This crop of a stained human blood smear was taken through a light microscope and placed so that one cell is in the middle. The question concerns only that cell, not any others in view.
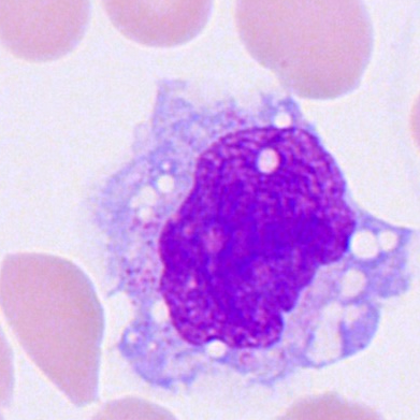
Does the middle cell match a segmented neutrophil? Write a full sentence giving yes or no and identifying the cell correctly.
No, the central cell is counted as a monocyte instead of a segmented neutrophil.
